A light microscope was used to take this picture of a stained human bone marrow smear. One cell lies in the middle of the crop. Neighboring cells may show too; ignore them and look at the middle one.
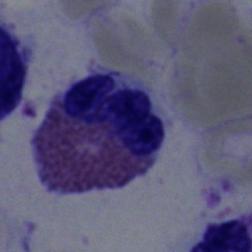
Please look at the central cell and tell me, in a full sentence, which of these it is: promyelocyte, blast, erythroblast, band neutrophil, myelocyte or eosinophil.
The middle cell in this particular crop is an eosinophil.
